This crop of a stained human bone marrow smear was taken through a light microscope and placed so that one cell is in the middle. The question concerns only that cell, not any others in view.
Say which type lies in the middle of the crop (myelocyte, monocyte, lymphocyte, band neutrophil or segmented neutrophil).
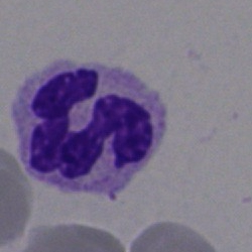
segmented neutrophil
